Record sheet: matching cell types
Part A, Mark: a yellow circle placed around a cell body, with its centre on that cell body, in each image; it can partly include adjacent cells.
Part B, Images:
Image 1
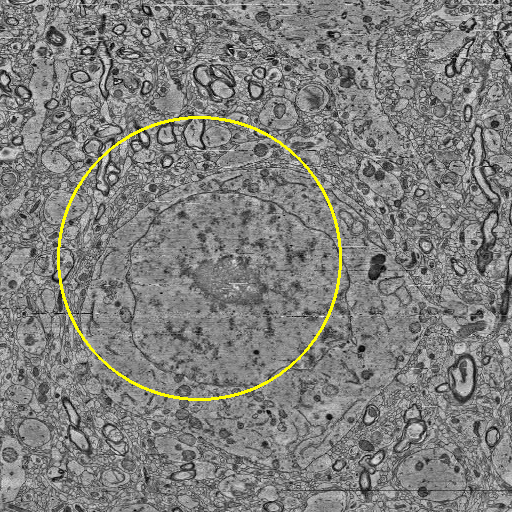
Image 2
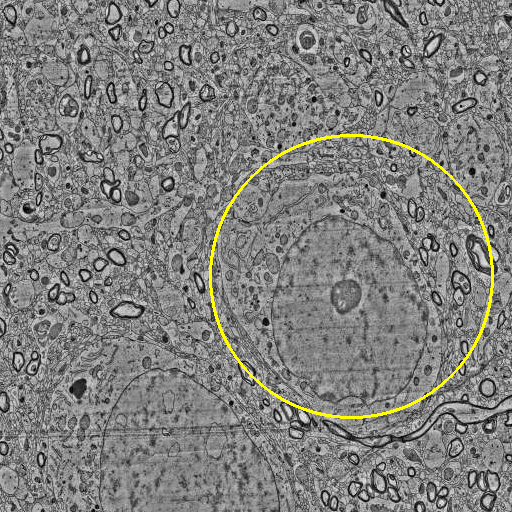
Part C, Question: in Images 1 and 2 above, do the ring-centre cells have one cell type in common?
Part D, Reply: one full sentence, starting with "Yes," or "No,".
No, the ring-centre cells of Image 1 and Image 2 are each of a separate cell type.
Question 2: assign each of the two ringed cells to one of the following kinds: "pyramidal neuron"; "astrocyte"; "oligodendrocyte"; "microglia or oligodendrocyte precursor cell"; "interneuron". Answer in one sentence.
The two cells are a pyramidal neuron in the first picture and an interneuron in the second.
